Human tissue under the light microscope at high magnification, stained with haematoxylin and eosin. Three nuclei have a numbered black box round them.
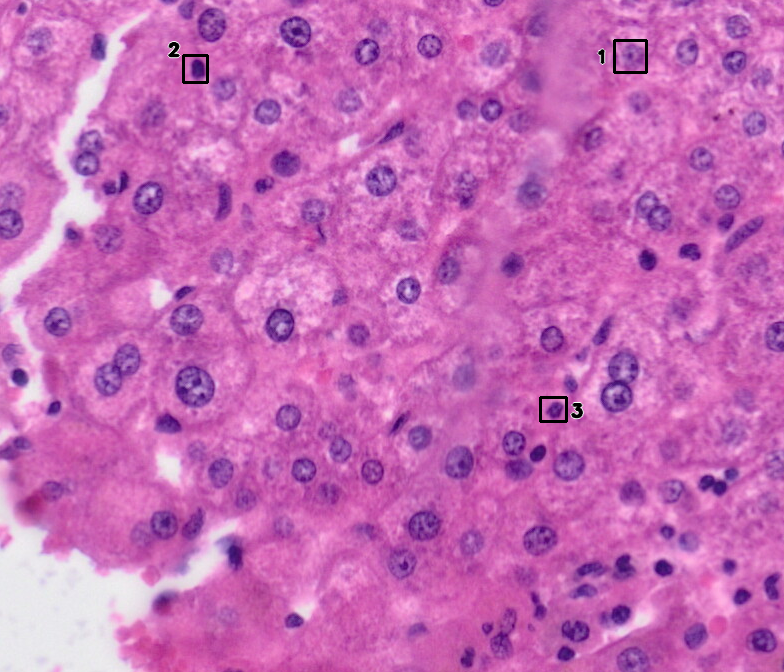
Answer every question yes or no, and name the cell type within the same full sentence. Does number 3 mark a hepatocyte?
No, number 3 belongs to a lymphocyte, not to a hepatocyte.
